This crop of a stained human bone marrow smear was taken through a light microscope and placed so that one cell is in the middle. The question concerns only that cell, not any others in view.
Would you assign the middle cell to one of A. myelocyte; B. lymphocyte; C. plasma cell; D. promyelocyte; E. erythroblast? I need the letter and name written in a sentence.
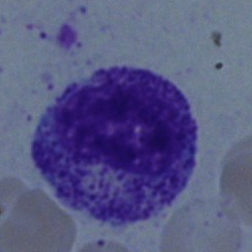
In this crop the middle cell is a myelocyte, so option A is the correct answer.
